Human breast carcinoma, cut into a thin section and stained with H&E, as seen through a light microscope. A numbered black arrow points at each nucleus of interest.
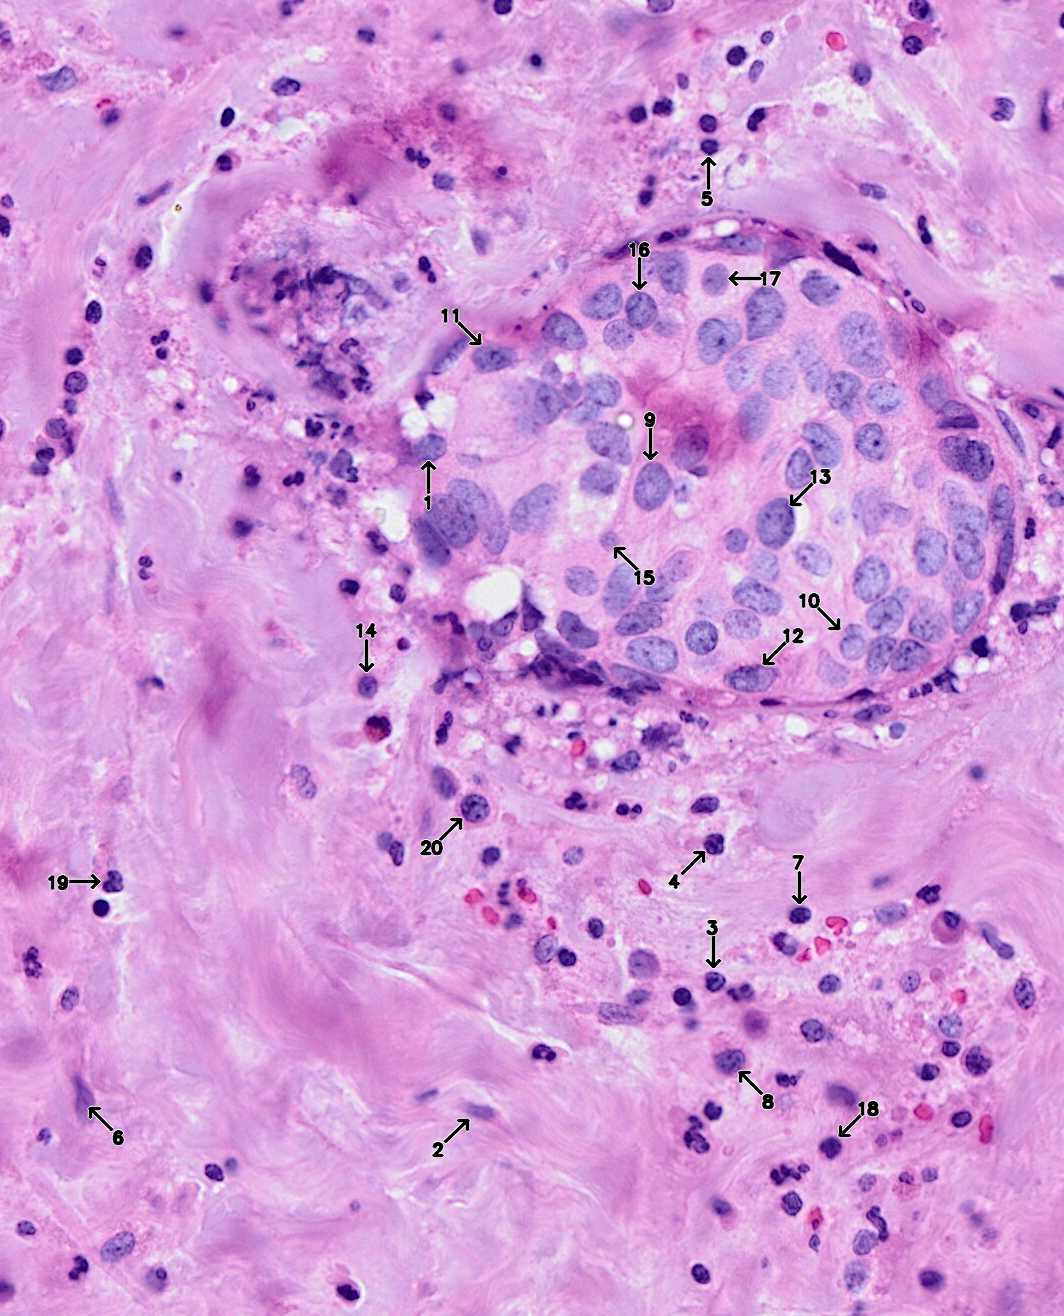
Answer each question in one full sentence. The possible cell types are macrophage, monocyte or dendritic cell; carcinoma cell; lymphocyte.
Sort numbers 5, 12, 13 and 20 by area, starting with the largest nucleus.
From largest to smallest, the order is 13, 12, 20, 5.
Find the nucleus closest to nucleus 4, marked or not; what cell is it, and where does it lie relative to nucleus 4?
Just above nucleus 4 lies the nearest nucleus, which belongs to a macrophage, monocyte or dendritic cell.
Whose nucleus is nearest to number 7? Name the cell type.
It is a macrophage, monocyte or dendritic cell whose nucleus is nearest to number 7.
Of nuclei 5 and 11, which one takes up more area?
It is nucleus 11, which covers about 3 times the area of nucleus 5.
